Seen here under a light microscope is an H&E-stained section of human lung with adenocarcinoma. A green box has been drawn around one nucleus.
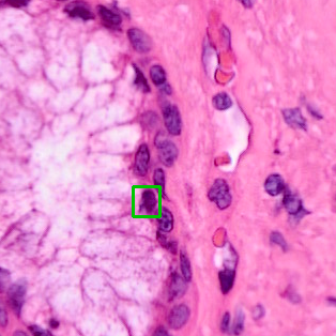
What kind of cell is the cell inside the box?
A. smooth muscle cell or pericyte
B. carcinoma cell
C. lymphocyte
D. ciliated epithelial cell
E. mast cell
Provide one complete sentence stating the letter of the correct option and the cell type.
Option D is the right choice, for the cell inside the box is a ciliated epithelial cell.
